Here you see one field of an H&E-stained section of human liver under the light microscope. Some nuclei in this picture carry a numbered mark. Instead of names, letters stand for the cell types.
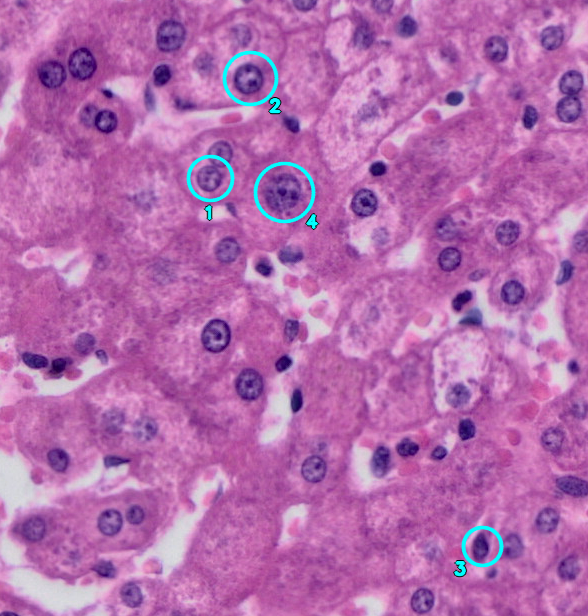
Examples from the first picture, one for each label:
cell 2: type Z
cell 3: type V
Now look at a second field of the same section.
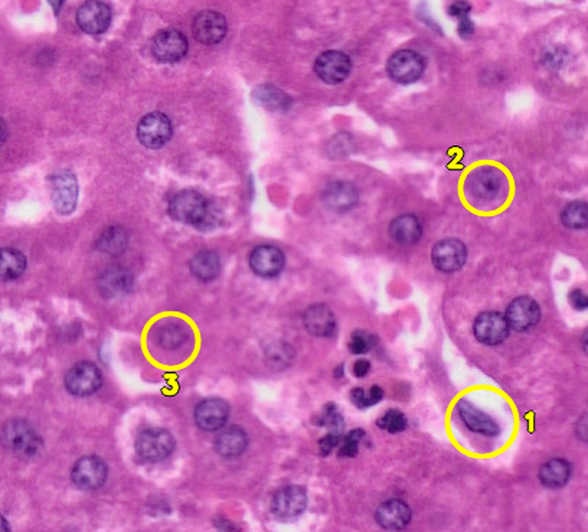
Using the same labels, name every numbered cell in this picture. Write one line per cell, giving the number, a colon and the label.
1: type V
2: type Z
3: type Z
